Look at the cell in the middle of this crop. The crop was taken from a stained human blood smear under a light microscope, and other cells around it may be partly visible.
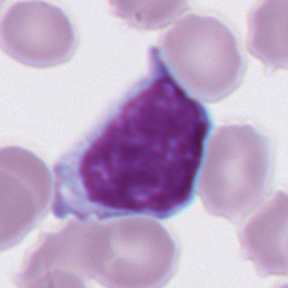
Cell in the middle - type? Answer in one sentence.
The cell in the middle of this crop is a typical lymphocyte.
